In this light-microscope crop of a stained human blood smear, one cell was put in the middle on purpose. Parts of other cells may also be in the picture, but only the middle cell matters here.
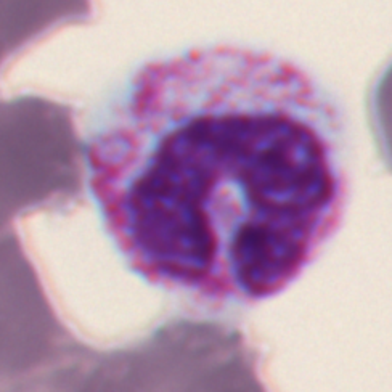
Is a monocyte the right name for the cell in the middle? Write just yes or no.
no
